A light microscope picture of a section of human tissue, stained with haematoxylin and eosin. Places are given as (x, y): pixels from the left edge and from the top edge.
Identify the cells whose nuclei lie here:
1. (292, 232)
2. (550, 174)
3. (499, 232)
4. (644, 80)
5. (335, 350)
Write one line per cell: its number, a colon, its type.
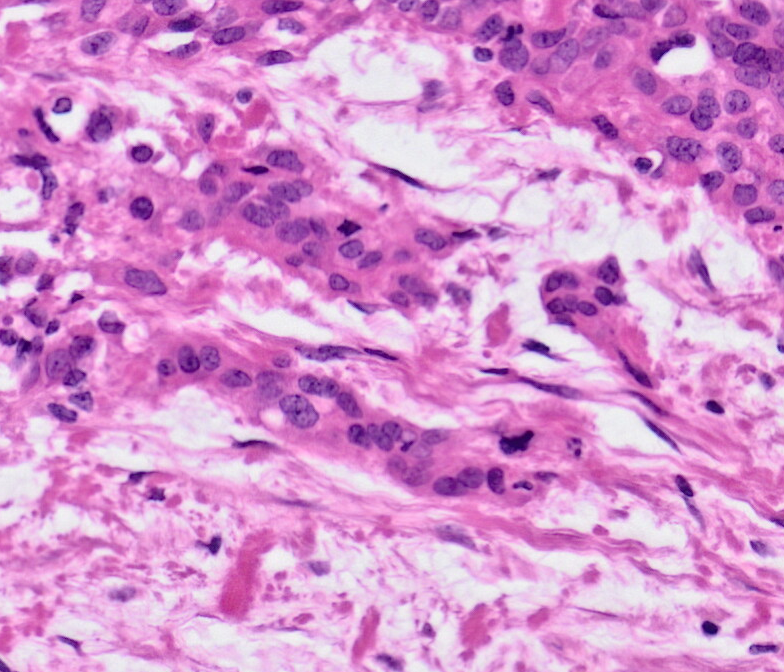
1: carcinoma cell
2: fibroblast
3: fibroblast
4: carcinoma cell
5: fibroblast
